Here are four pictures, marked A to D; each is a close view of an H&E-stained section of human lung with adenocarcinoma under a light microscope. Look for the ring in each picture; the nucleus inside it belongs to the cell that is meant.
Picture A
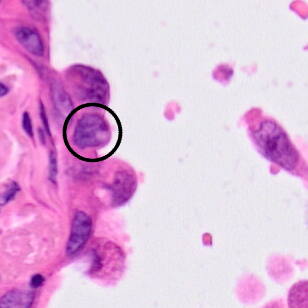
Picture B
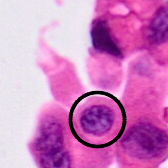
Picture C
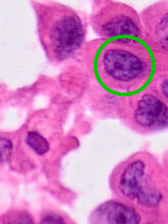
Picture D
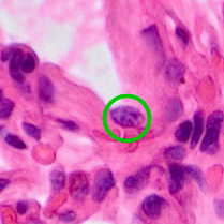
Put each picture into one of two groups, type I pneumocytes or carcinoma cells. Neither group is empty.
A: carcinoma cell
B: carcinoma cell
C: carcinoma cell
D: type I pneumocyte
